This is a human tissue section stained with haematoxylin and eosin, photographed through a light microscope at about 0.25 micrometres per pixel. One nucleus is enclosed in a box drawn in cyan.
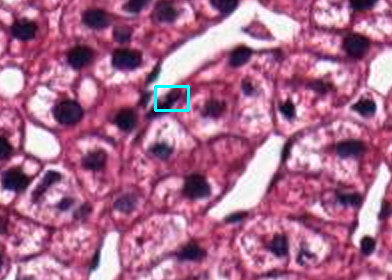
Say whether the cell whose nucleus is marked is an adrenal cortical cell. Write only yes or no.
no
